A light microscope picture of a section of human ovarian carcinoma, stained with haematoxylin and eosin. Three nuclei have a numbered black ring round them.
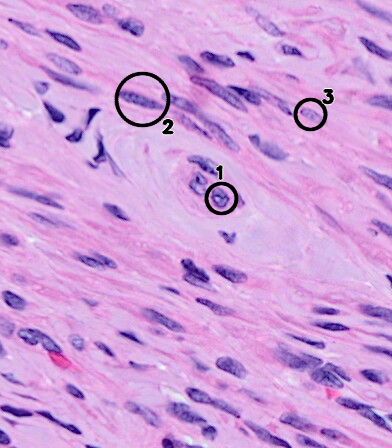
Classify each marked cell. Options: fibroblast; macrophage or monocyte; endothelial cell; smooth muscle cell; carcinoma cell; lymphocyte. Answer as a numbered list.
1. endothelial cell
2. smooth muscle cell
3. smooth muscle cell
